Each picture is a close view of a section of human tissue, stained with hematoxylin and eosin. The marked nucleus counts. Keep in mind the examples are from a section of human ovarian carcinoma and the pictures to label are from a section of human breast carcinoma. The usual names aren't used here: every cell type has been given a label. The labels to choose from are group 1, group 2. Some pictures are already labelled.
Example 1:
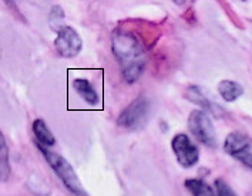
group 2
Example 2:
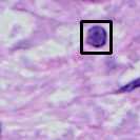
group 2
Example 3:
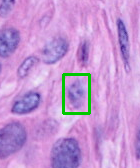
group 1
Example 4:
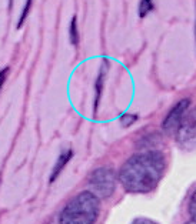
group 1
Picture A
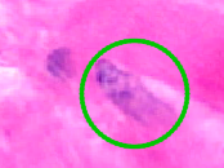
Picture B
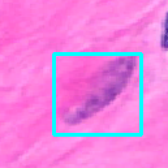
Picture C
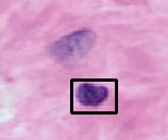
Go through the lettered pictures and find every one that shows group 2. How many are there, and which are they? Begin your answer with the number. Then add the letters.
1, namely C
